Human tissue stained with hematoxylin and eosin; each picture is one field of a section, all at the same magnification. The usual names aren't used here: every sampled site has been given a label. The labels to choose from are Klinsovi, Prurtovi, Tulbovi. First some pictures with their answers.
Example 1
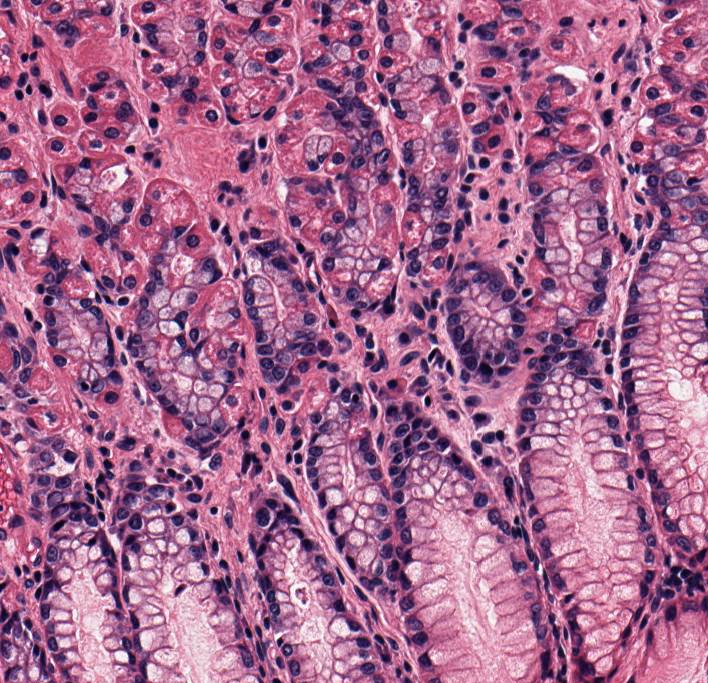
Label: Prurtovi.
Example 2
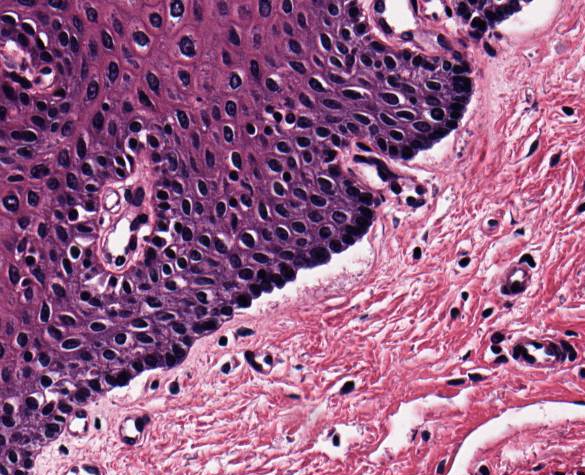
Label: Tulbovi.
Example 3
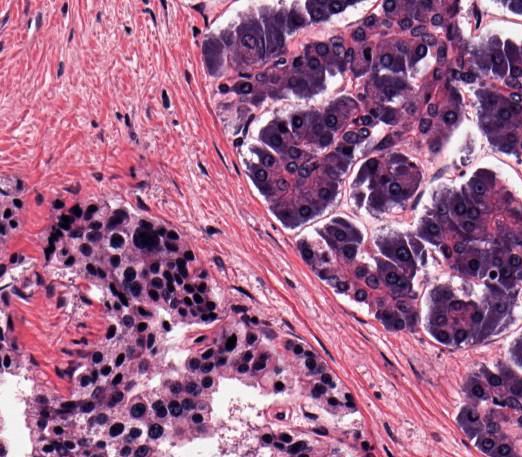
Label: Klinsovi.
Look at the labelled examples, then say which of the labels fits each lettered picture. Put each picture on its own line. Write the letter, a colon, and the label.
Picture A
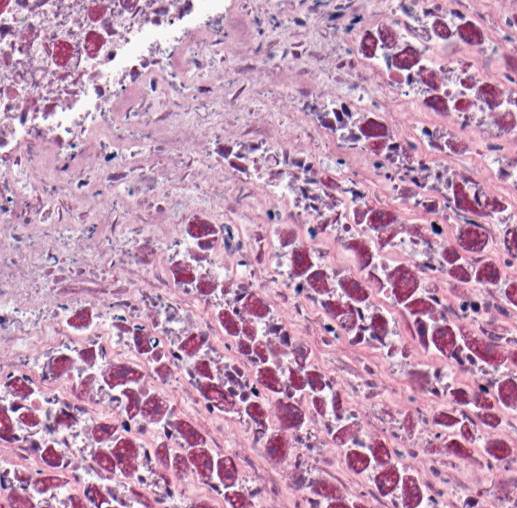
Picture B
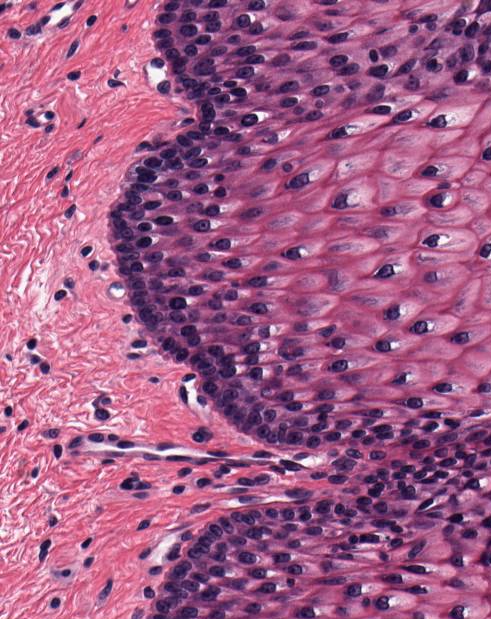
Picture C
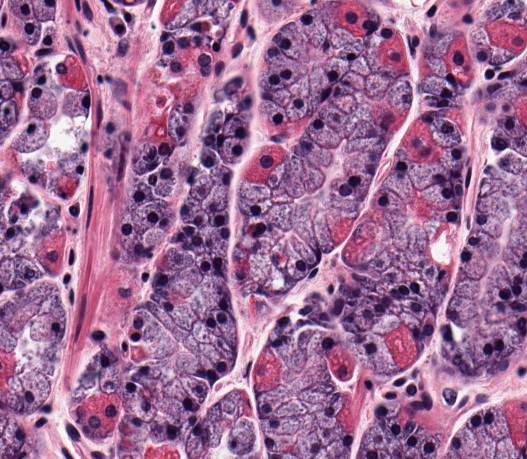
A: Prurtovi.
B: Tulbovi.
C: Prurtovi.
